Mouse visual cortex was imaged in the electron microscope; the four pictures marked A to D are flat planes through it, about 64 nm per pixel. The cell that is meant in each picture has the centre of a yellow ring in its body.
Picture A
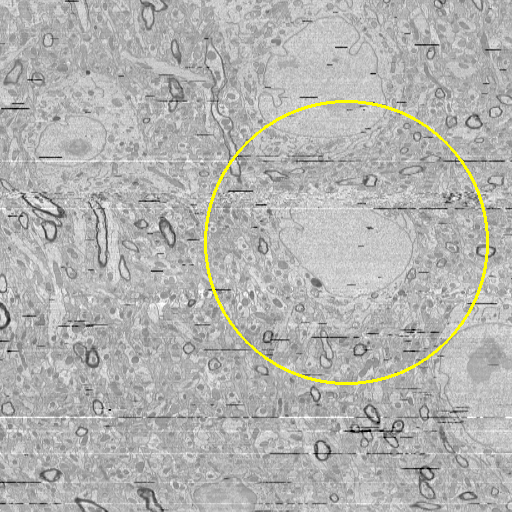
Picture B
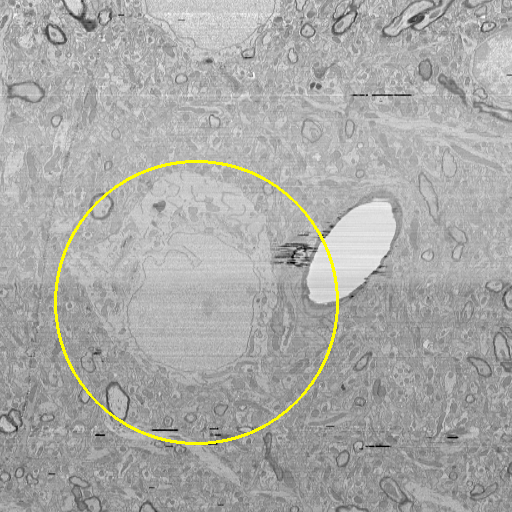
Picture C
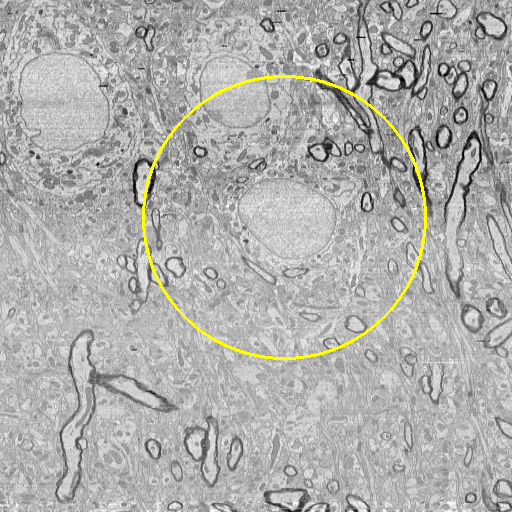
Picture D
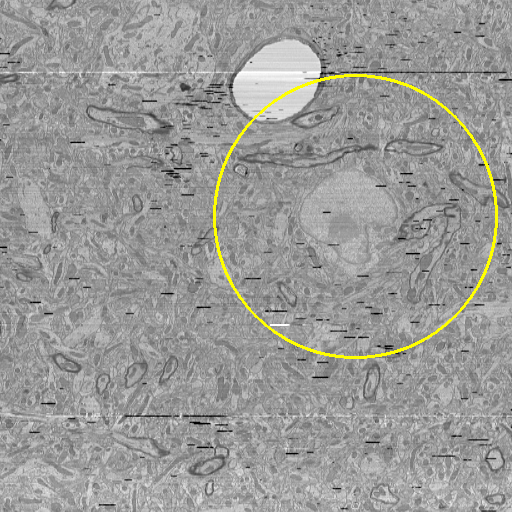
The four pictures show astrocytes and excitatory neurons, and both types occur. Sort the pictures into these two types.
Pictures C and D show astrocytes, while pictures A and B show excitatory neurons.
